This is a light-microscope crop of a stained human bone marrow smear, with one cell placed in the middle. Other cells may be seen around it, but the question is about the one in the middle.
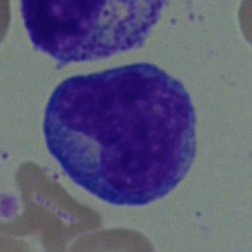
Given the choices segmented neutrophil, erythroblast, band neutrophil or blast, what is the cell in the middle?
blast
